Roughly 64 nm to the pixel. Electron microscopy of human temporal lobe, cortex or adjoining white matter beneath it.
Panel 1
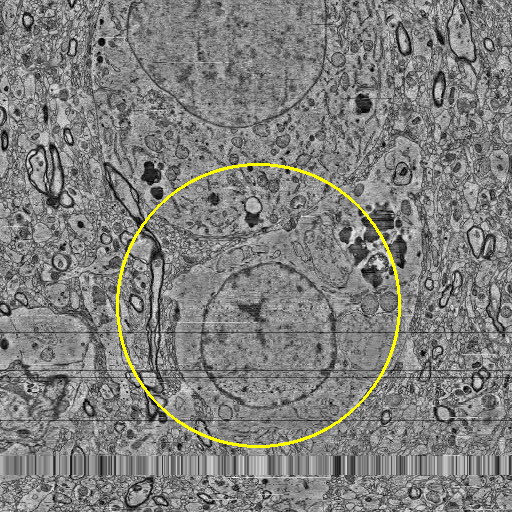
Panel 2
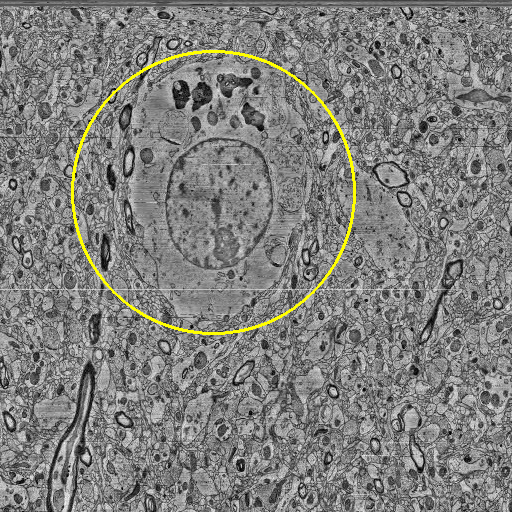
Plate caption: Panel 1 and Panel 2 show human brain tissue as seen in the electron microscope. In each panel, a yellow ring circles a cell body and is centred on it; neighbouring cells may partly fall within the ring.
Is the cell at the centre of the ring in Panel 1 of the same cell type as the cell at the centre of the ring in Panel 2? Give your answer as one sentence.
Yes, the two cells are of the same type.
